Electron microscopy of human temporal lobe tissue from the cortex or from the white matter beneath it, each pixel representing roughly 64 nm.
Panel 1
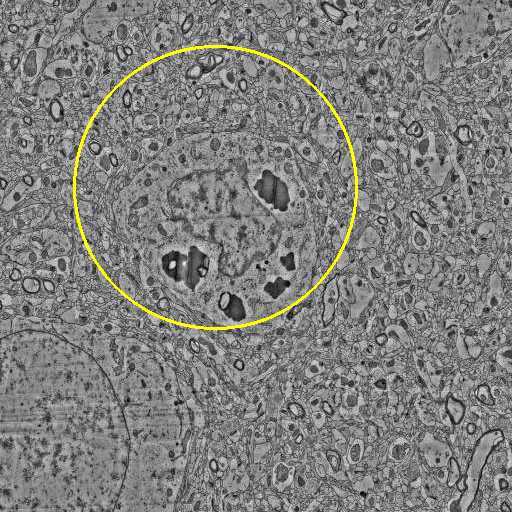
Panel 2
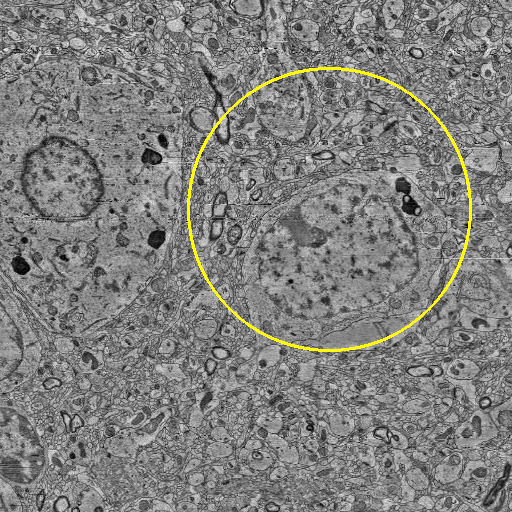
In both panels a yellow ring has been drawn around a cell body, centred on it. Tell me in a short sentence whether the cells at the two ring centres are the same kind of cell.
Yes, they are the same kind of cell.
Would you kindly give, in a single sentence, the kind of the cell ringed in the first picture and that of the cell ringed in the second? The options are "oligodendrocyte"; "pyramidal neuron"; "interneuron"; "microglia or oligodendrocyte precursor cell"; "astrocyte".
The cell in the first picture is an interneuron, and so is the one in the second.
